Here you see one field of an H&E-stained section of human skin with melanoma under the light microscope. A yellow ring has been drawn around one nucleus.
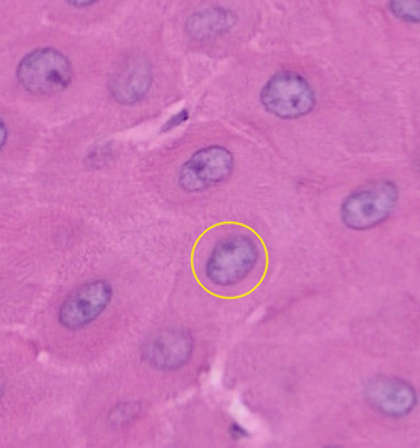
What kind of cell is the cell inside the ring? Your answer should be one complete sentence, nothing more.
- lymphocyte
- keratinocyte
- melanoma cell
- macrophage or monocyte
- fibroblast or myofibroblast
In this preparation, the cell inside the ring is a keratinocyte.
